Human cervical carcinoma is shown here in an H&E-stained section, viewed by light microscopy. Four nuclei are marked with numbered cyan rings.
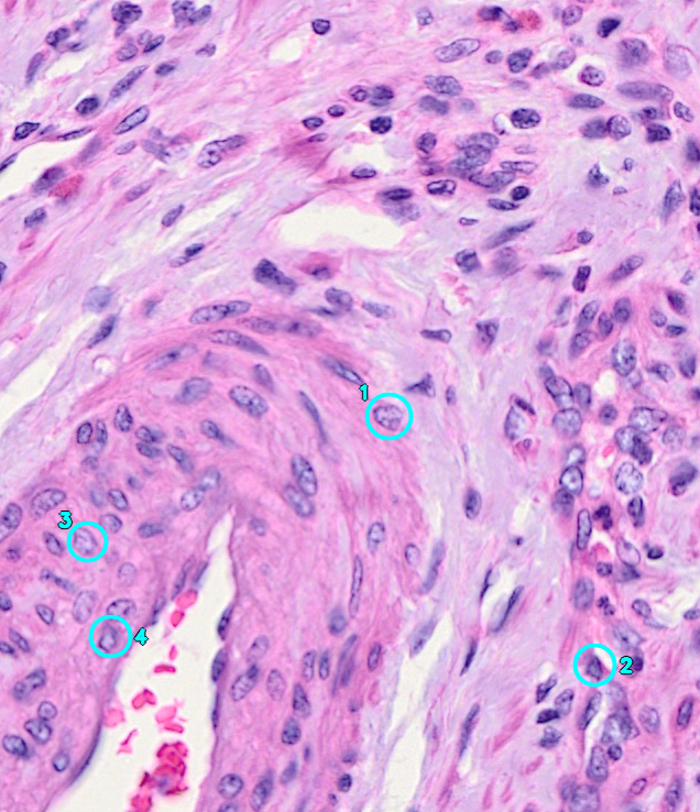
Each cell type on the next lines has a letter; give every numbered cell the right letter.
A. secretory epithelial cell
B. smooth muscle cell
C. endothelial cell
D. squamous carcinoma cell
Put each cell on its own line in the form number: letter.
1: B
2: C
3: B
4: B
